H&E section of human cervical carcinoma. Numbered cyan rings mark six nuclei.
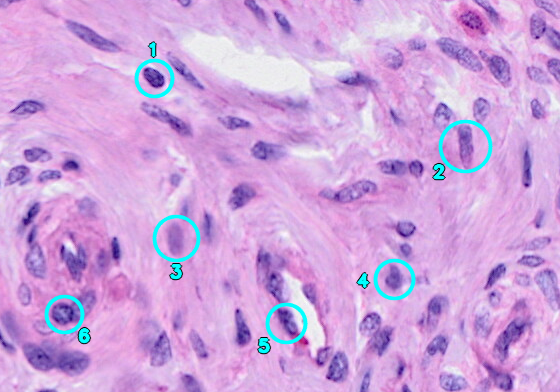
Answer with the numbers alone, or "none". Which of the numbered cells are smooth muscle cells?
2, 6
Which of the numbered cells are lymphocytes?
1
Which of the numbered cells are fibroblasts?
3, 4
